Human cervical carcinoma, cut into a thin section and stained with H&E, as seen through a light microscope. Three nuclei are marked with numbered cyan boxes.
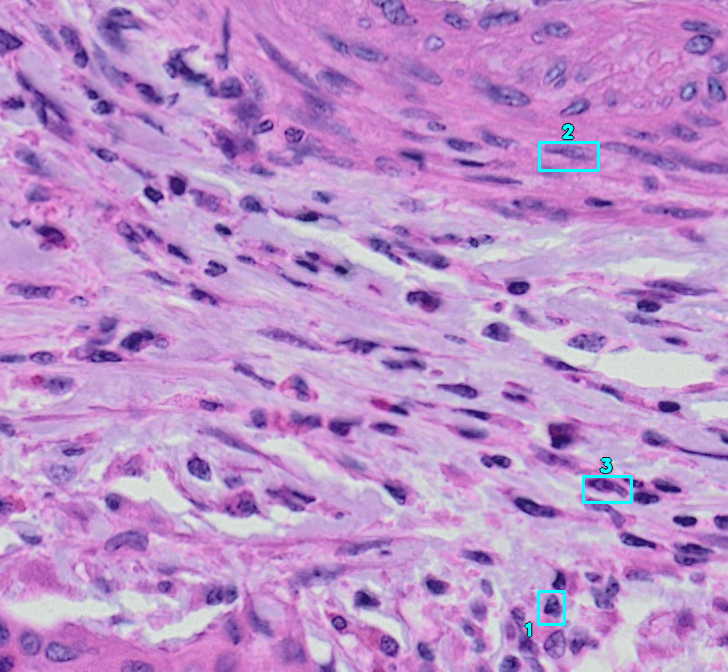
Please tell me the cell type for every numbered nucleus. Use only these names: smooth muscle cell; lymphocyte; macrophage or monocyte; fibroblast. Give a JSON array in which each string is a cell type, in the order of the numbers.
["lymphocyte", "smooth muscle cell", "macrophage or monocyte"]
